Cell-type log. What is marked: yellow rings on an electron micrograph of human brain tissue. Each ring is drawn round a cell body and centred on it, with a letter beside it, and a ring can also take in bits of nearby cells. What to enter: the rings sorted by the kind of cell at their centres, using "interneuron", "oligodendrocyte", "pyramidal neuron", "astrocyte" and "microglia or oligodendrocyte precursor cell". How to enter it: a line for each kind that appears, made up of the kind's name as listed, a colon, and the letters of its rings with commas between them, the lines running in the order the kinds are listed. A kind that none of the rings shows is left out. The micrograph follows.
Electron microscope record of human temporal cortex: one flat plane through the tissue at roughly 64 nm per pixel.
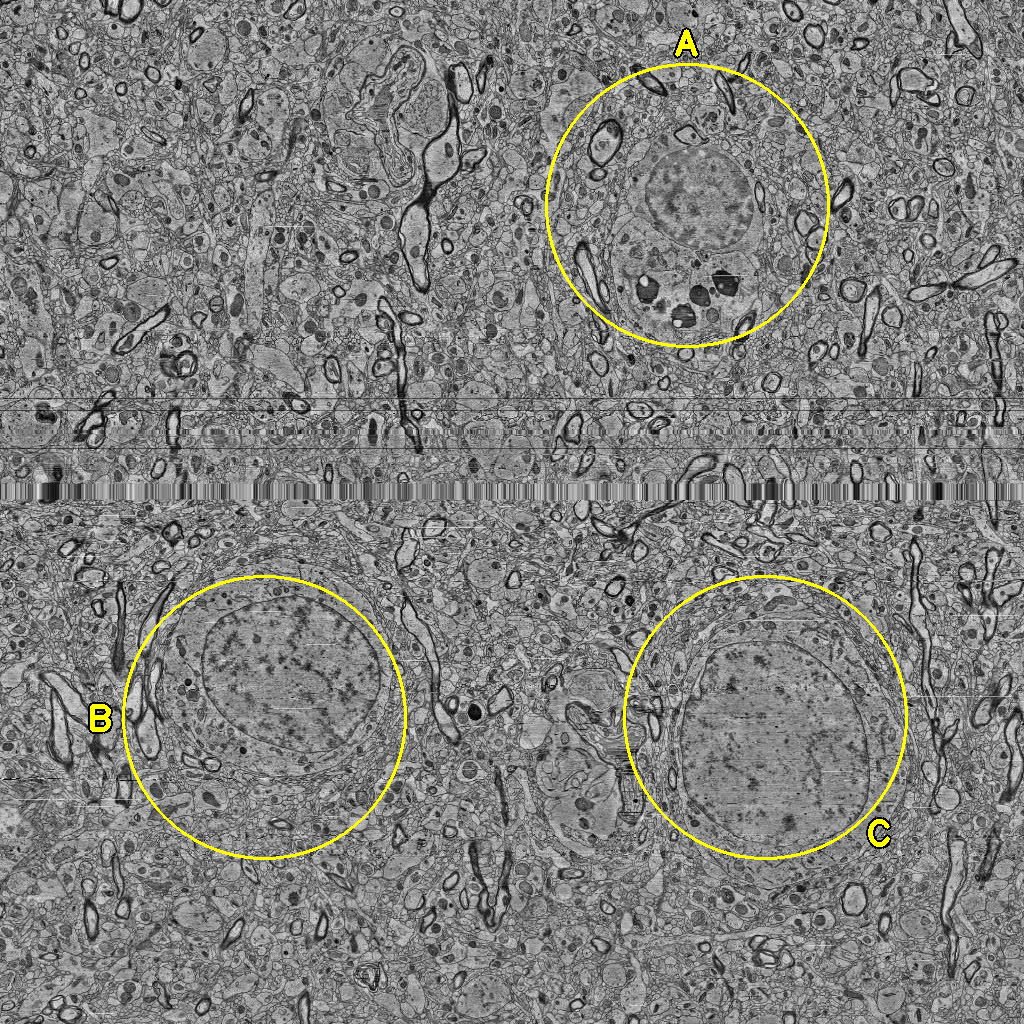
oligodendrocyte: A
pyramidal neuron: B, C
